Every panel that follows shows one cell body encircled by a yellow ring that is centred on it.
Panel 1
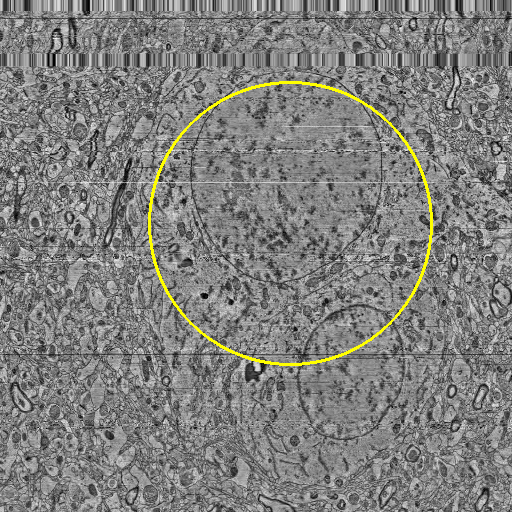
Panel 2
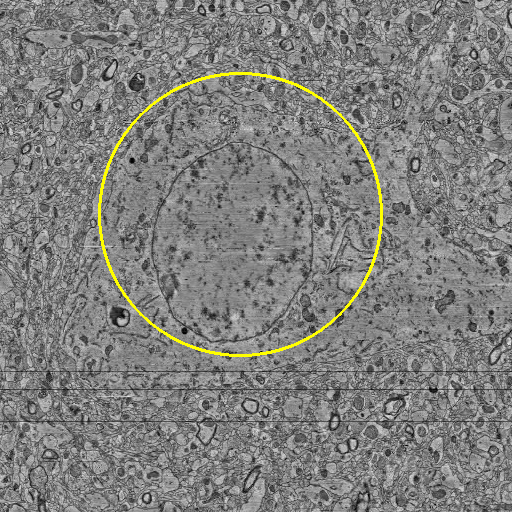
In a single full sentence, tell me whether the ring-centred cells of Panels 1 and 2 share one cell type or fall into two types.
In Panel 1 and Panel 2, the cells at the ring centres share one cell type.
